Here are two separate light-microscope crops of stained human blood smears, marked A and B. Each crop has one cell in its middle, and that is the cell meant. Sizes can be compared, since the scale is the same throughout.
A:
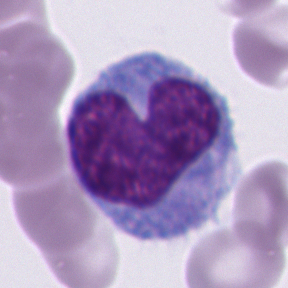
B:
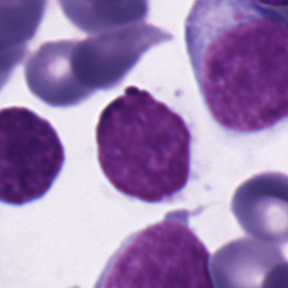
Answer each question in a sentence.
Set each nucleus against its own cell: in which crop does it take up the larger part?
In crop B the nucleus takes up the larger part of its cell.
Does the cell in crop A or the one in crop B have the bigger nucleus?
Crop A shows the larger nucleus; it covers about 1.5 times the area of the nucleus in crop B.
